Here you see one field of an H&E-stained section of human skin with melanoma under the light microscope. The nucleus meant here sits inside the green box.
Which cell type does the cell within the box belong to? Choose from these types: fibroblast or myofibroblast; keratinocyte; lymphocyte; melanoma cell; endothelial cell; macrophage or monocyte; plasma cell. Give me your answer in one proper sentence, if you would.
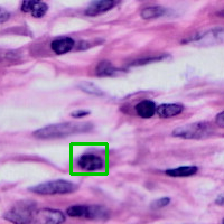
The expected answer is simply that the cell within the box is a plasma cell.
